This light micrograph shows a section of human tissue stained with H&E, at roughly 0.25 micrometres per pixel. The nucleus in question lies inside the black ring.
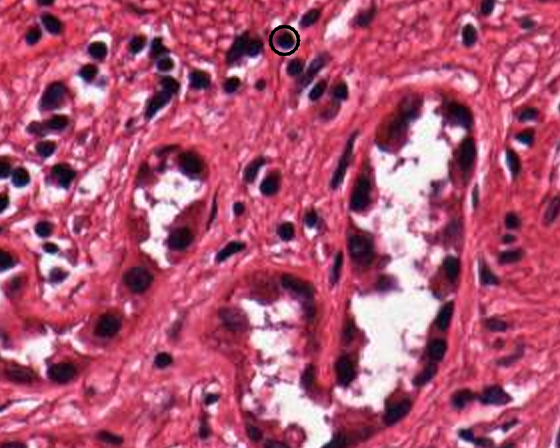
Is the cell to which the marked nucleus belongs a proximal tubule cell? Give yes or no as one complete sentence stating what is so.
No, the marked nucleus lies within a supporting cell, not within a proximal tubule cell.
